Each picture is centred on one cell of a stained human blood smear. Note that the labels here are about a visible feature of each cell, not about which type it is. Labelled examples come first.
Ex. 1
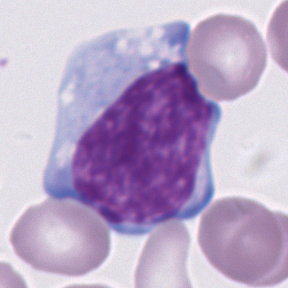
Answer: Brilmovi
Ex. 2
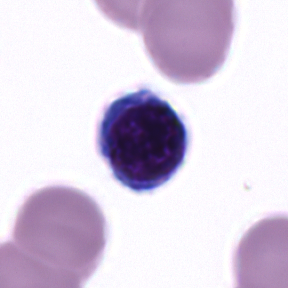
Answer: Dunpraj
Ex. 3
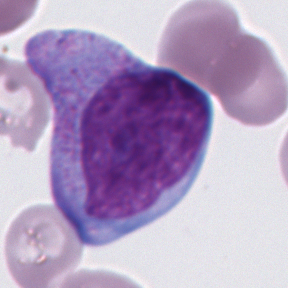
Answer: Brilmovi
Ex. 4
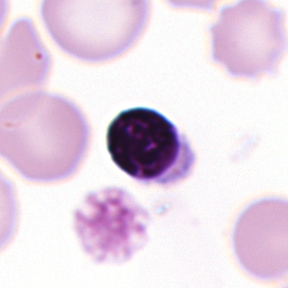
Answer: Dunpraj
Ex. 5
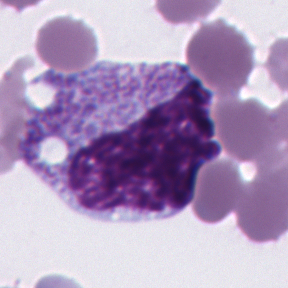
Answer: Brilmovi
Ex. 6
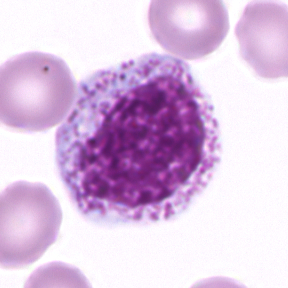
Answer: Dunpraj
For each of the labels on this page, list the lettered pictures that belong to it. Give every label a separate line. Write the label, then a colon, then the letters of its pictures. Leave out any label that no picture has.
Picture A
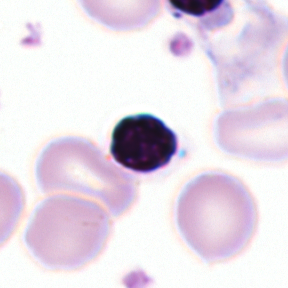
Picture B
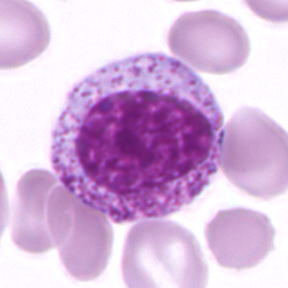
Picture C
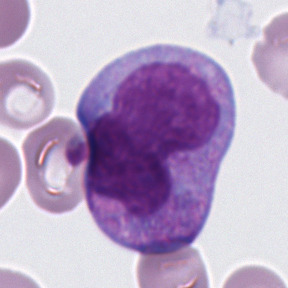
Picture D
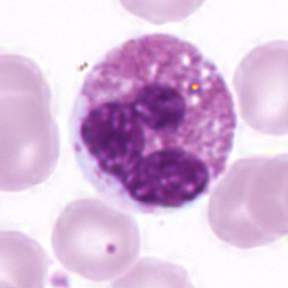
Brilmovi: C, D
Dunpraj: A, B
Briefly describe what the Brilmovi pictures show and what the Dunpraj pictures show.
Brilmovi: abundant cytoplasm; Dunpraj: scant cytoplasm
